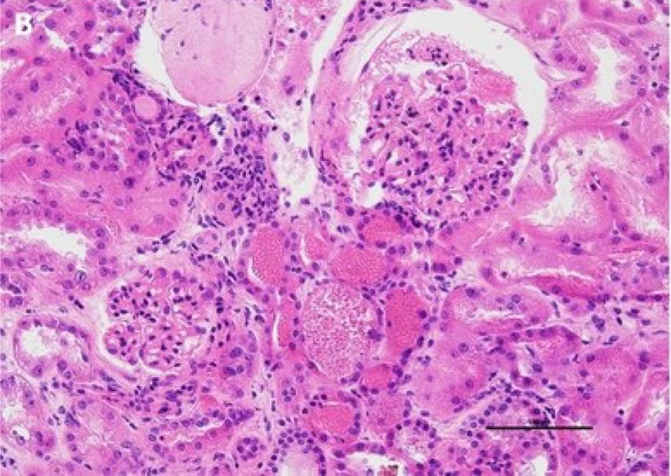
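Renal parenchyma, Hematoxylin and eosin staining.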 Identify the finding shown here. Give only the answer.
Erythrocyte casts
